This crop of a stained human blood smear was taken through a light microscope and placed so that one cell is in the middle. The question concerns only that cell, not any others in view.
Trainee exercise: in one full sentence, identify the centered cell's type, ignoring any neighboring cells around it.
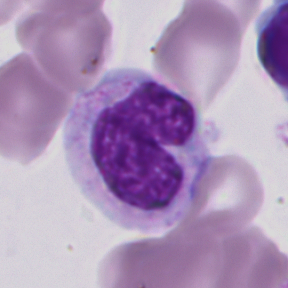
For this crop, the central cell is a band neutrophil.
